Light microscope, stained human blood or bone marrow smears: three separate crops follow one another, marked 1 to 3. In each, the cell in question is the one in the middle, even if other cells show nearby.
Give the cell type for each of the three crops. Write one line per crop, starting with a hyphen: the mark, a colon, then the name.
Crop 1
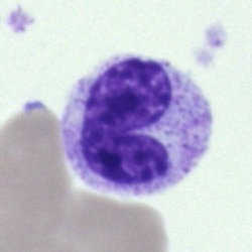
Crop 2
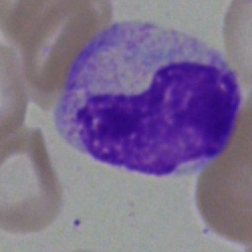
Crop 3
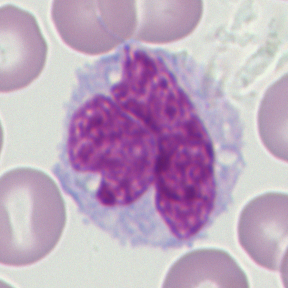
- 1: band neutrophil
- 2: metamyelocyte
- 3: monocyte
